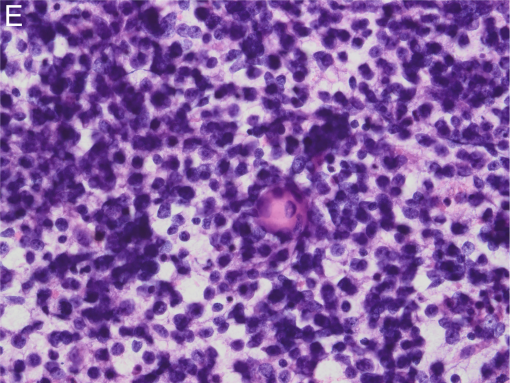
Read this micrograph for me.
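Crowded cell smear of a carcinoma with a focus of abrupt keratinisation. Densely packed small to medium atypical cells with round to oval nuclei, many deeply hyperchromatic, others with paler open chromatin; cytoplasm is scant and barely visible. Clear spaces and a faint pink background lie between cell clusters.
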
